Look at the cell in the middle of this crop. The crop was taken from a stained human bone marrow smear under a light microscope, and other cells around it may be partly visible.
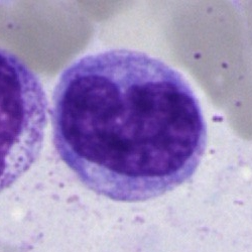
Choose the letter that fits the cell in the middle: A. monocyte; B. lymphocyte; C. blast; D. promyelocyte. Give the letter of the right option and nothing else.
A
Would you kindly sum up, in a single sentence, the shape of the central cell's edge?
The outline traces a smooth curve with no projections along it.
